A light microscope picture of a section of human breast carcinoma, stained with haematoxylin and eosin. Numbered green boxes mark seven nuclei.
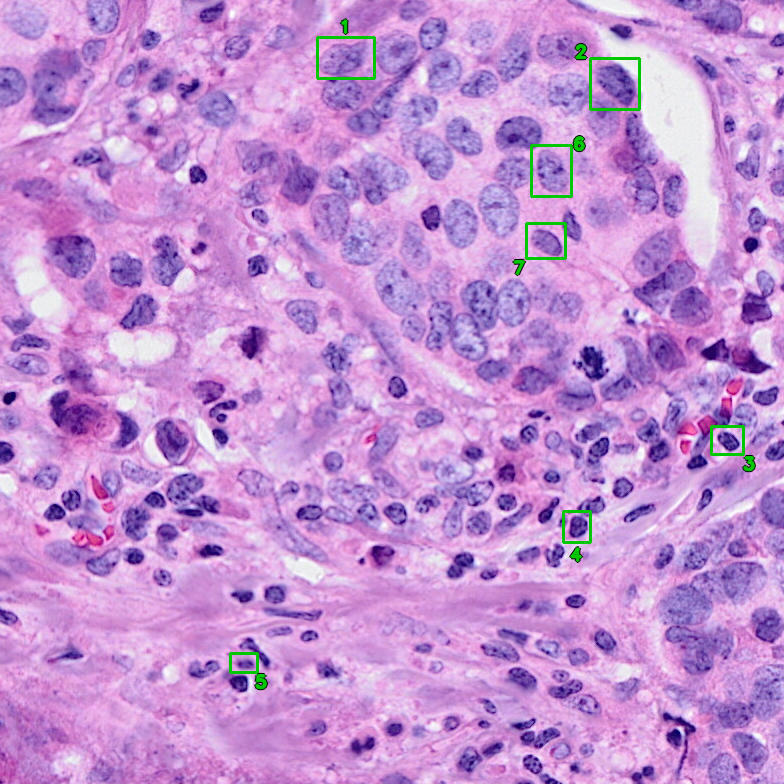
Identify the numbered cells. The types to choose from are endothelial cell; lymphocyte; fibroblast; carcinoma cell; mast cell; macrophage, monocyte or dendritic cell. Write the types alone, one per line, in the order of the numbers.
carcinoma cell
carcinoma cell
lymphocyte
lymphocyte
lymphocyte
carcinoma cell
carcinoma cell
